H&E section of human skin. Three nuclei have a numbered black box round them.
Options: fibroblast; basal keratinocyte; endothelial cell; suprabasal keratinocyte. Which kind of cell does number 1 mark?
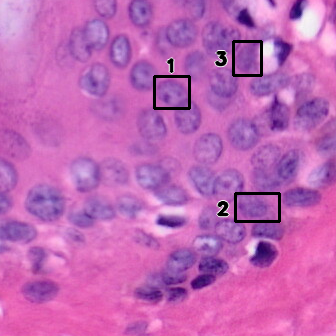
suprabasal keratinocyte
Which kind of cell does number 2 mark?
basal keratinocyte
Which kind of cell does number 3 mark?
basal keratinocyte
